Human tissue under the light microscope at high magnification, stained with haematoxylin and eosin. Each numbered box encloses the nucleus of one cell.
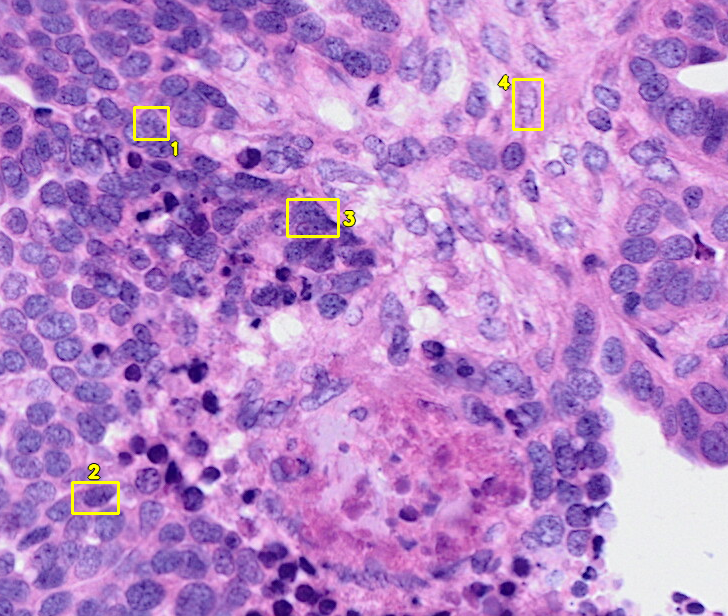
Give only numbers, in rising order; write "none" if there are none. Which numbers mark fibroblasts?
4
